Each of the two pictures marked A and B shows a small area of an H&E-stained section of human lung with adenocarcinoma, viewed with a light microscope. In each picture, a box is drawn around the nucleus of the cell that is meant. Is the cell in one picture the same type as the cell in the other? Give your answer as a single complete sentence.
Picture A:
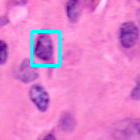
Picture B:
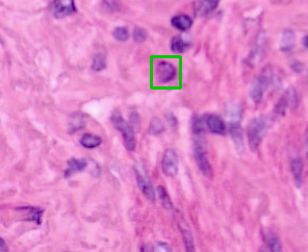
No, they differ: the cell is a plasma cell in picture A and a mast cell in picture B.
